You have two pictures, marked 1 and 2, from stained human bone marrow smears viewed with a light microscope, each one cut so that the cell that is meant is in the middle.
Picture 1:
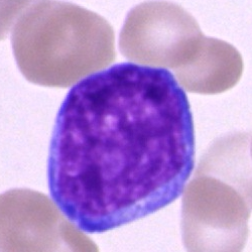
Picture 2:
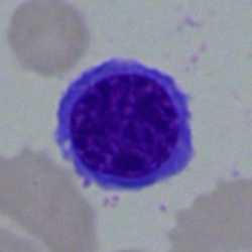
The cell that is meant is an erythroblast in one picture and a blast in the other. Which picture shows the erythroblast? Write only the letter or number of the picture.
2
